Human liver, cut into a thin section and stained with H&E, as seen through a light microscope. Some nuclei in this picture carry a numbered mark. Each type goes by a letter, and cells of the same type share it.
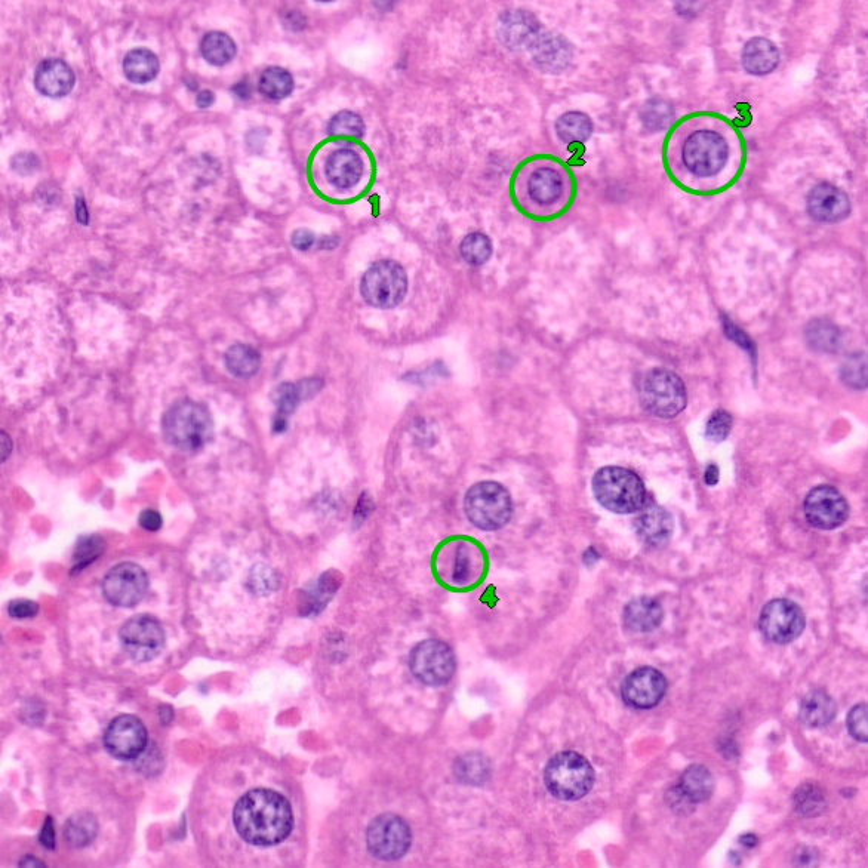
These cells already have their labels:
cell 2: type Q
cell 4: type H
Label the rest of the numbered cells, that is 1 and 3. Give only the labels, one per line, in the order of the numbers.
type Q
type Q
